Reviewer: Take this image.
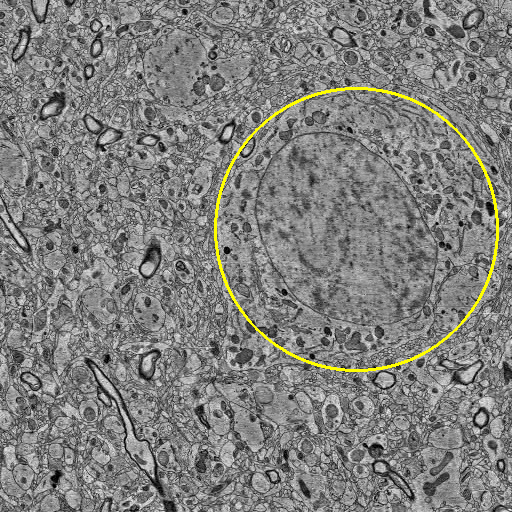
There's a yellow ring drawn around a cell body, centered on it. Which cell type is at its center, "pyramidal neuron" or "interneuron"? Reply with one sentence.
At the center of the yellow ring is an interneuron.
